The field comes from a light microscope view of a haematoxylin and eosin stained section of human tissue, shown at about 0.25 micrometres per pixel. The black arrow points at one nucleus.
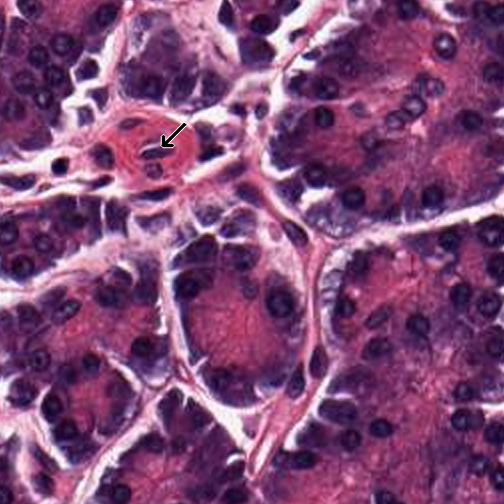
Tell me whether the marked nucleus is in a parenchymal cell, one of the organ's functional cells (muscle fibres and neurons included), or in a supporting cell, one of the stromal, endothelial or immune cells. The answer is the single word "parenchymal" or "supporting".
supporting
